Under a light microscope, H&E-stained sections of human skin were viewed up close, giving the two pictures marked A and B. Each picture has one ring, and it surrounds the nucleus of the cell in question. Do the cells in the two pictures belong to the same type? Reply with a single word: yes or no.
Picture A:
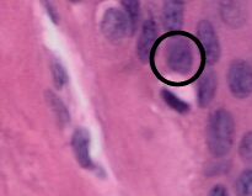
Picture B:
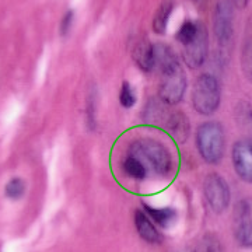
yes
